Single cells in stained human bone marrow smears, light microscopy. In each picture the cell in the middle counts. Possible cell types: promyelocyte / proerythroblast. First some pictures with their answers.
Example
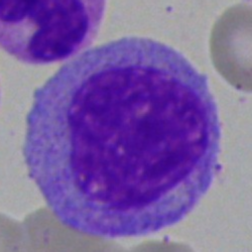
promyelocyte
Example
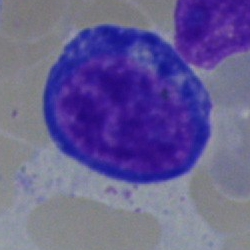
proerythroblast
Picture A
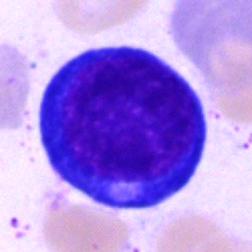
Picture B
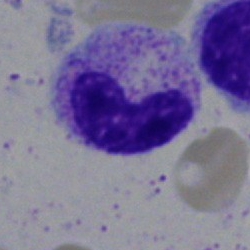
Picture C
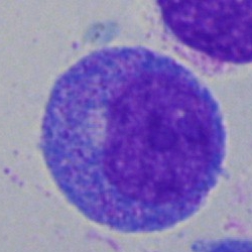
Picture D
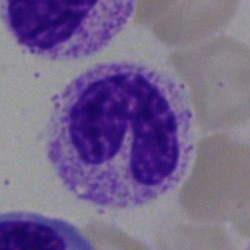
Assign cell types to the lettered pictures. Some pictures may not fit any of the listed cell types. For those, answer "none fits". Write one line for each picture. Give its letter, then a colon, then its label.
A: proerythroblast
B: none fits
C: promyelocyte
D: none fits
